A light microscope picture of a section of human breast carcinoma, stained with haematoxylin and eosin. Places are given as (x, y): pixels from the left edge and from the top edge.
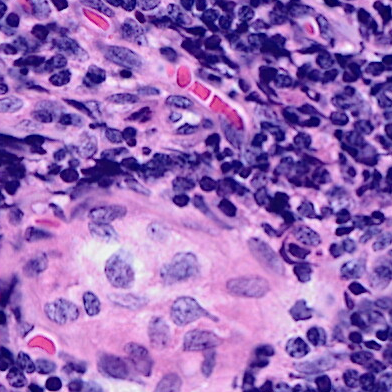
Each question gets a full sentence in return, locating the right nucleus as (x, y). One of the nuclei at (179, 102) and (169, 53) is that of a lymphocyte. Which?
The nucleus at (169, 53) is assigned to a lymphocyte.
